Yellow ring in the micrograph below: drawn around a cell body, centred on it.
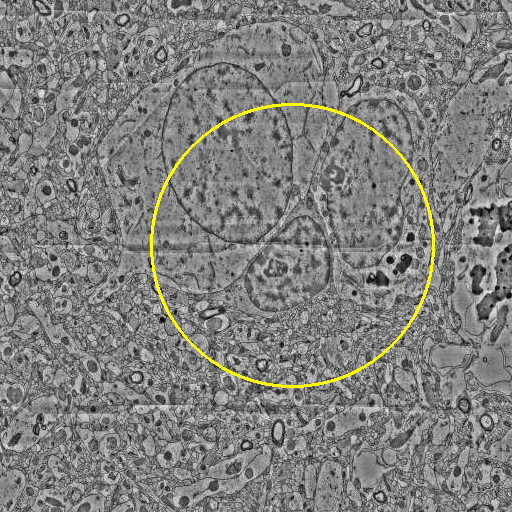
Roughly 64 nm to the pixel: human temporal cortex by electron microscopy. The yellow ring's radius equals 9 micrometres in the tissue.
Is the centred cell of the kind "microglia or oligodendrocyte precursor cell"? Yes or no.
no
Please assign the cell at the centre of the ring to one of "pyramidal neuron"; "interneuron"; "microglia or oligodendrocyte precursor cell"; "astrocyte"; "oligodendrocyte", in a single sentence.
Instead, the cell inside the ring is an oligodendrocyte.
